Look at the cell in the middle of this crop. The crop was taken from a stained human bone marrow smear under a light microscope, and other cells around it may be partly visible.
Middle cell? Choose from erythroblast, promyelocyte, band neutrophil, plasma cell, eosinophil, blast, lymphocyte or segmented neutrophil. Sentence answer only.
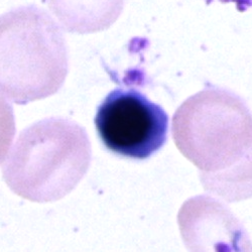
Whatever else lies nearby, the middle cell is an erythroblast.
